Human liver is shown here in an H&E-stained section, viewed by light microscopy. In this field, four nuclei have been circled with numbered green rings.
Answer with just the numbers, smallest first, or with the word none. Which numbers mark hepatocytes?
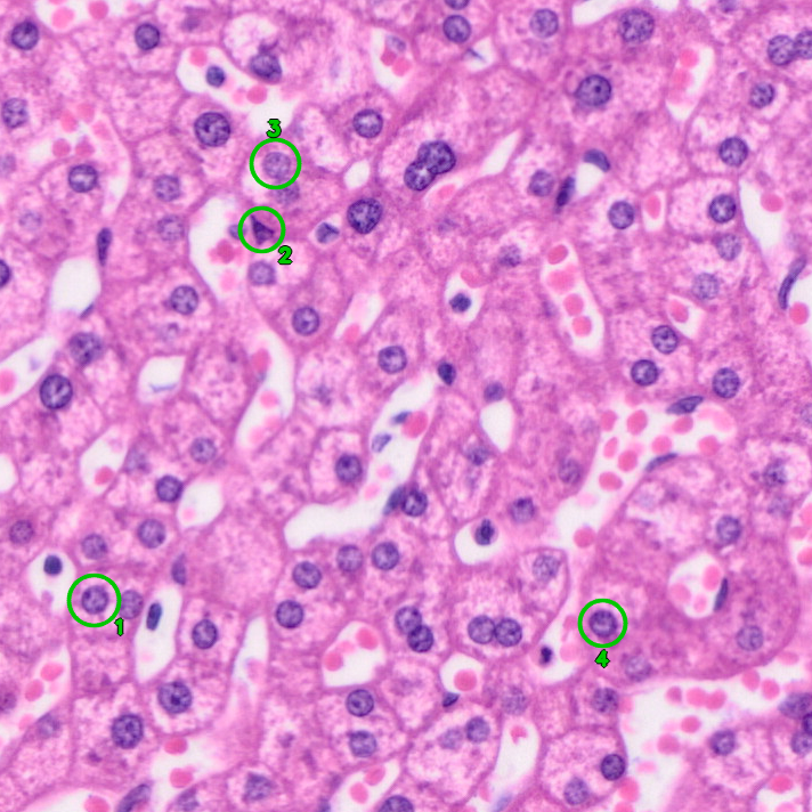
1, 3, 4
